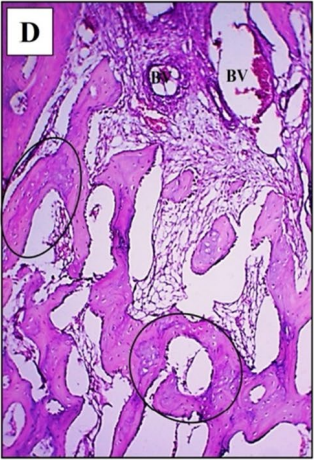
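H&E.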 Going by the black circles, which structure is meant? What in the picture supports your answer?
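The circled bone is pink trabecular bone. The circled bone holds many irregularly placed cells in lacunae. So: woven bone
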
